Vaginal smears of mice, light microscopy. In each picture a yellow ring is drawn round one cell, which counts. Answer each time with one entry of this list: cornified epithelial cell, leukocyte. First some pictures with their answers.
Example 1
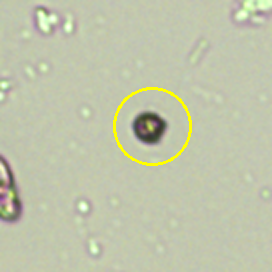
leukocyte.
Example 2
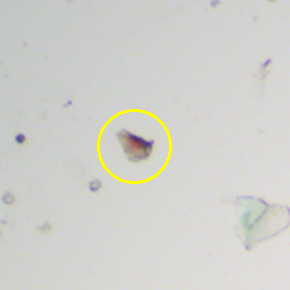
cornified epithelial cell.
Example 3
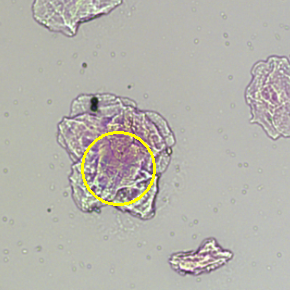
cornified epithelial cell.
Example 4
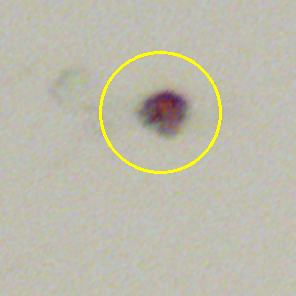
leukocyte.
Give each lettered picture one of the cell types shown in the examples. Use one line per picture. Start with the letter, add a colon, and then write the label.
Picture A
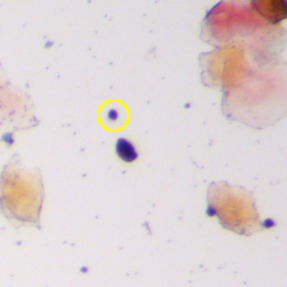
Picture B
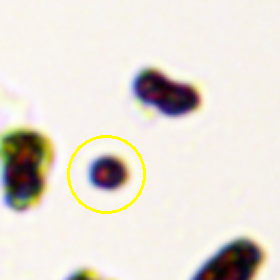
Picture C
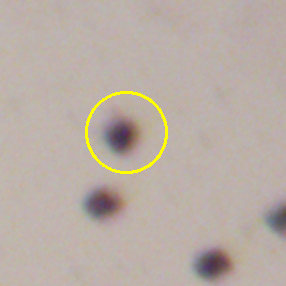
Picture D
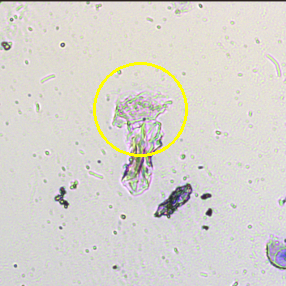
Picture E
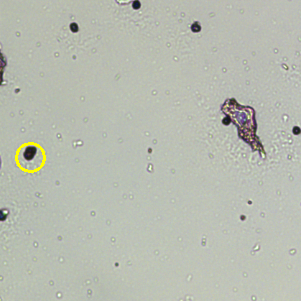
A: leukocyte.
B: leukocyte.
C: leukocyte.
D: cornified epithelial cell.
E: leukocyte.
